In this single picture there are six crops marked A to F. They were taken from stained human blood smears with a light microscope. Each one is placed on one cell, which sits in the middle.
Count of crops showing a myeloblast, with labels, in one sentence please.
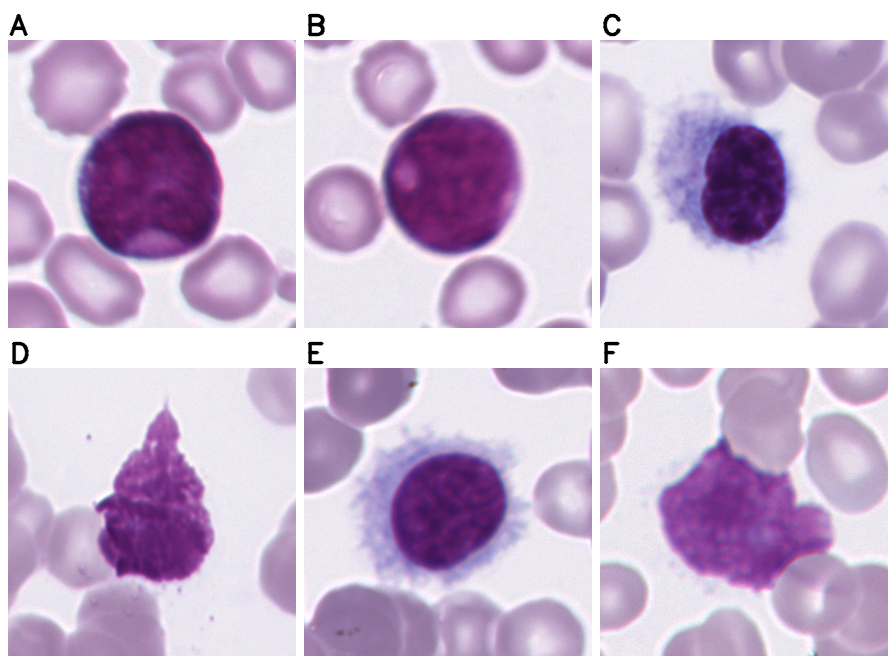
Within the set, crops A and B are the two showing myeloblasts.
